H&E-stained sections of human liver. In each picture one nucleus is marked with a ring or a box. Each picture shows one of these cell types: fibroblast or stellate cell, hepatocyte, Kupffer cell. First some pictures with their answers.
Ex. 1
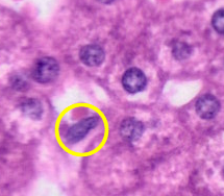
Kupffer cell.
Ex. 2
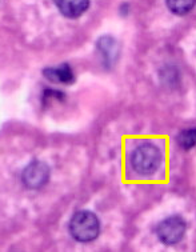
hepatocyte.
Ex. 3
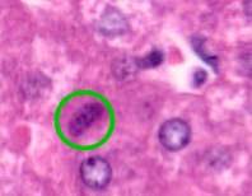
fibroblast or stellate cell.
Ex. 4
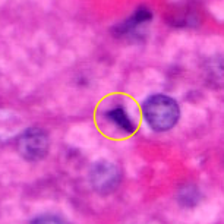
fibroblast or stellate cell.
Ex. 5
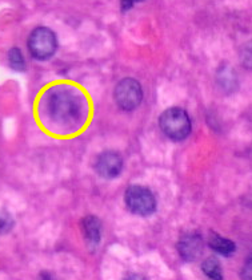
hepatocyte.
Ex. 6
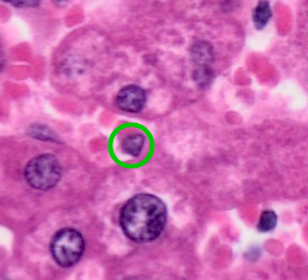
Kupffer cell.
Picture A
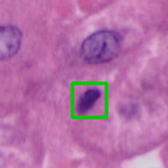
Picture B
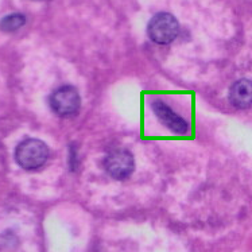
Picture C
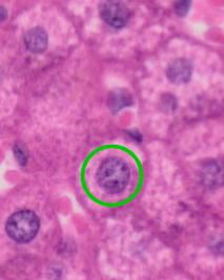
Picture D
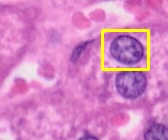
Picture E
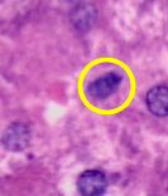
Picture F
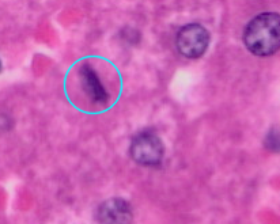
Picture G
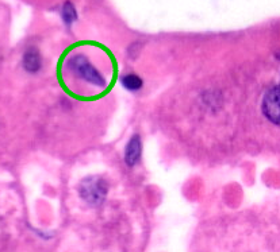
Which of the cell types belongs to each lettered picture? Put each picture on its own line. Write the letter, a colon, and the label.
A: fibroblast or stellate cell.
B: Kupffer cell.
C: hepatocyte.
D: hepatocyte.
E: fibroblast or stellate cell.
F: fibroblast or stellate cell.
G: fibroblast or stellate cell.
